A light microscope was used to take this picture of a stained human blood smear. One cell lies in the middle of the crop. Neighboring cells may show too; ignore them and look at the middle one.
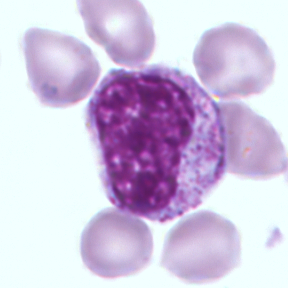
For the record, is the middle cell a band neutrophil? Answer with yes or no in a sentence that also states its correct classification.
No, the middle cell is not a band neutrophil, it being a metamyelocyte.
